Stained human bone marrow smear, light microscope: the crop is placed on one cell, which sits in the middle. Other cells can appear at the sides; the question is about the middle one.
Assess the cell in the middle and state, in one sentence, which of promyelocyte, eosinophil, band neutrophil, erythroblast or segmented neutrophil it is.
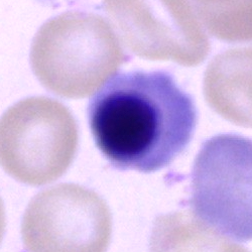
The cell occupying the middle of the crop is an erythroblast.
